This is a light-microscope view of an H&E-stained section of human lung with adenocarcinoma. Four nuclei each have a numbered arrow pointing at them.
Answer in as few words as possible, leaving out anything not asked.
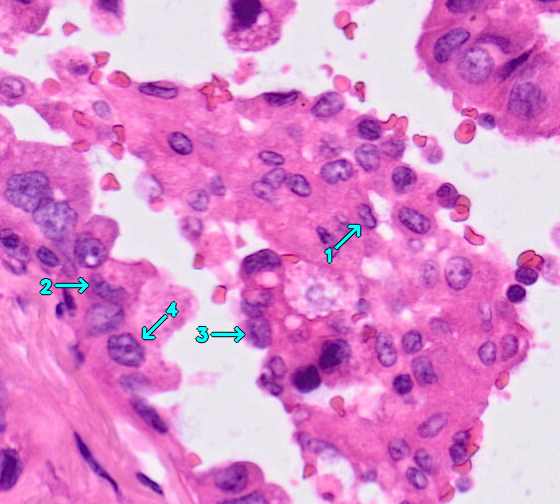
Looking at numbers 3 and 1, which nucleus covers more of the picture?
3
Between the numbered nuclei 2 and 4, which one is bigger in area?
4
